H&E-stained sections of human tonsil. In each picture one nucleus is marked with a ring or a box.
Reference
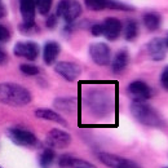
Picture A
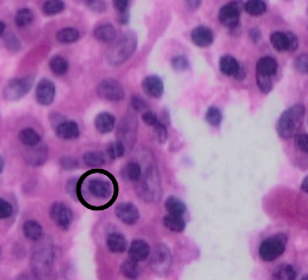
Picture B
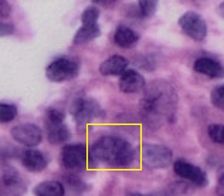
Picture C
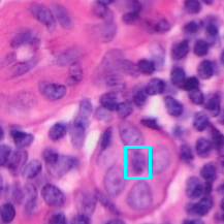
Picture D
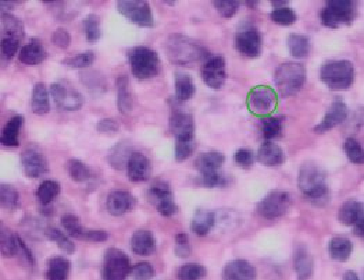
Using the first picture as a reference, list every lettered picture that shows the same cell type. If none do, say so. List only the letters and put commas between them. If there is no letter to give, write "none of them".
C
